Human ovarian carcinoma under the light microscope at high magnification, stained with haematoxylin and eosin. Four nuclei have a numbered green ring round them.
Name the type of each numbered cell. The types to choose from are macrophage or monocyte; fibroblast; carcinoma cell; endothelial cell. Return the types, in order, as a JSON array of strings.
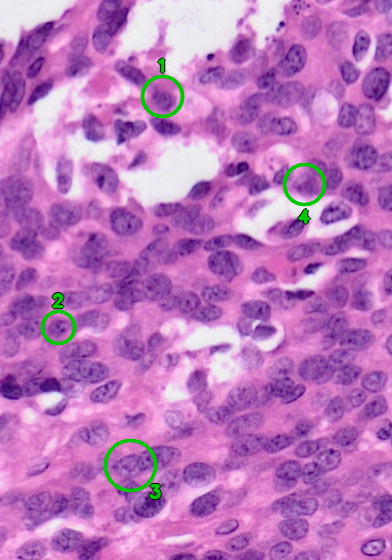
["macrophage or monocyte", "carcinoma cell", "carcinoma cell", "carcinoma cell"]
